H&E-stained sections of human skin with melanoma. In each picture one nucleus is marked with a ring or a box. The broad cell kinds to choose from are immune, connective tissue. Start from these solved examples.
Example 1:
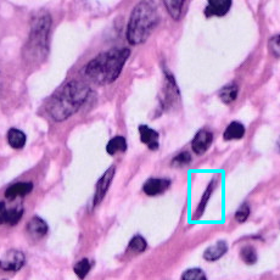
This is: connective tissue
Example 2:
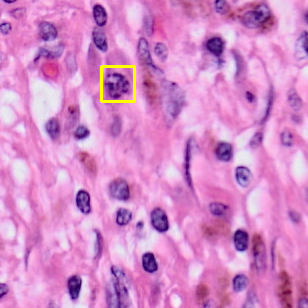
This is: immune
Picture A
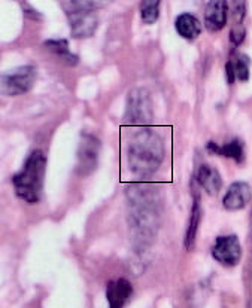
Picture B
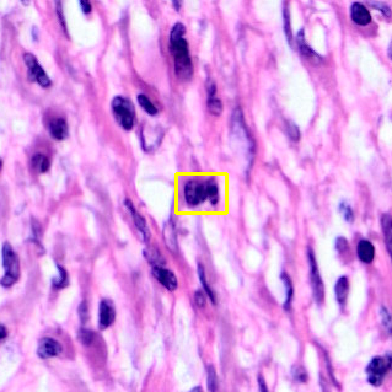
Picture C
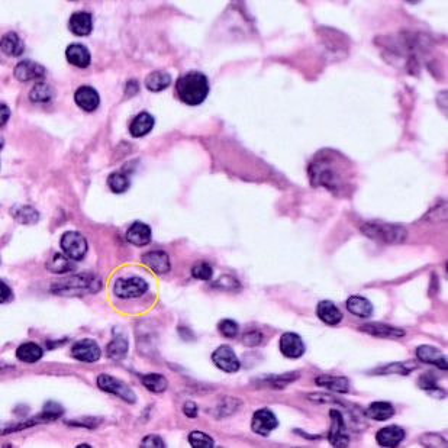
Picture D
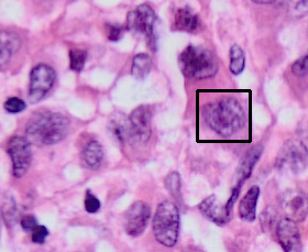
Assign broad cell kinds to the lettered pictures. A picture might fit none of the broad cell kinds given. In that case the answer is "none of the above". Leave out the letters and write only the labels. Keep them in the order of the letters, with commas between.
none of the above, immune, immune, none of the above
